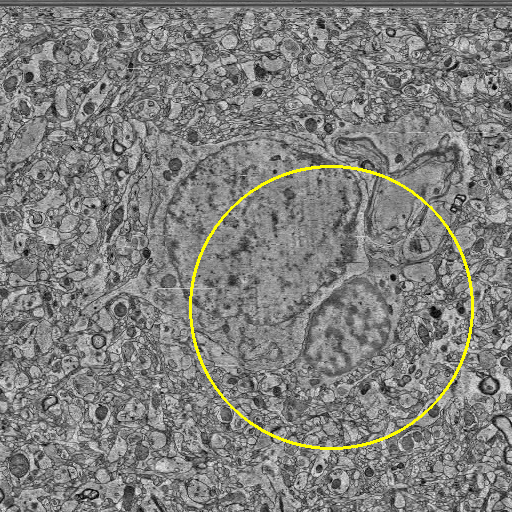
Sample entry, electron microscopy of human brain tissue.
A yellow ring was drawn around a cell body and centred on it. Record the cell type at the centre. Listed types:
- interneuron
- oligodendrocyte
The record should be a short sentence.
The cell at the ring's centre is an oligodendrocyte.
